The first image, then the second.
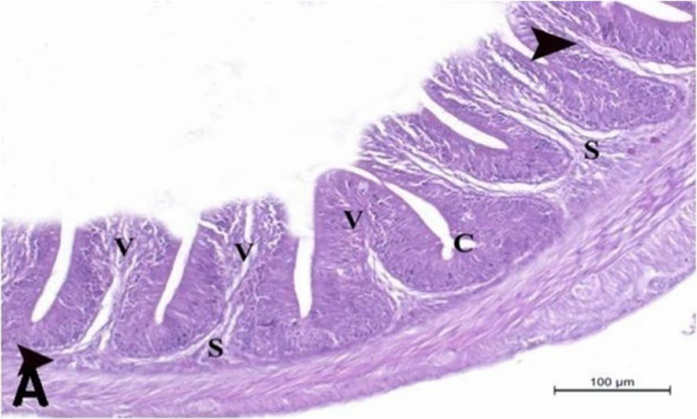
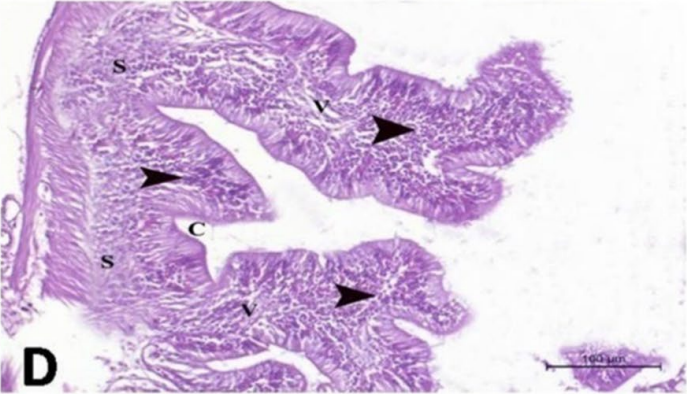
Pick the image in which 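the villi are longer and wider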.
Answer: The second image.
